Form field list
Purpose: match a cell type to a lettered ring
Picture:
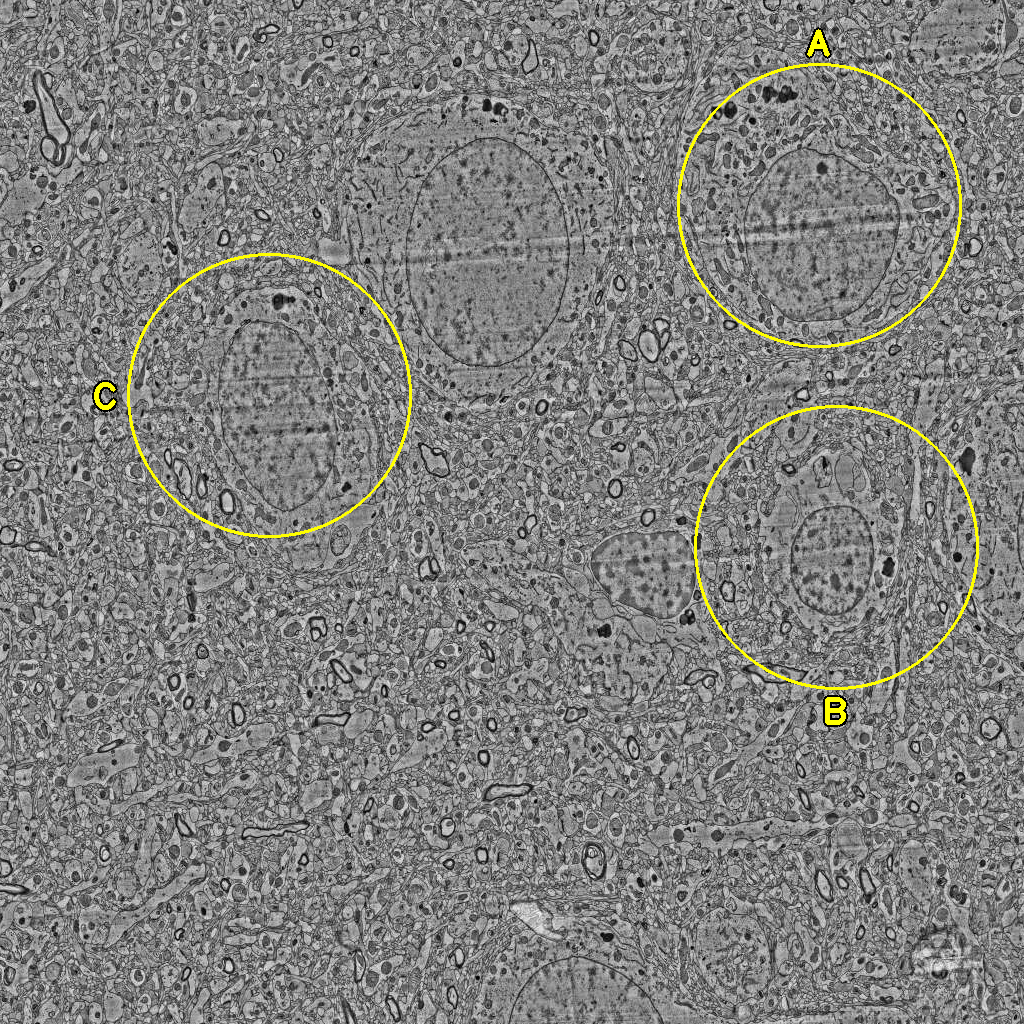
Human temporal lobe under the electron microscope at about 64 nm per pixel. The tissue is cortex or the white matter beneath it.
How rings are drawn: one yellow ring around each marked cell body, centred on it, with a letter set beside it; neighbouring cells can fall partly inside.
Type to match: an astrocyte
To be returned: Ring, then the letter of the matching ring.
Ring B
